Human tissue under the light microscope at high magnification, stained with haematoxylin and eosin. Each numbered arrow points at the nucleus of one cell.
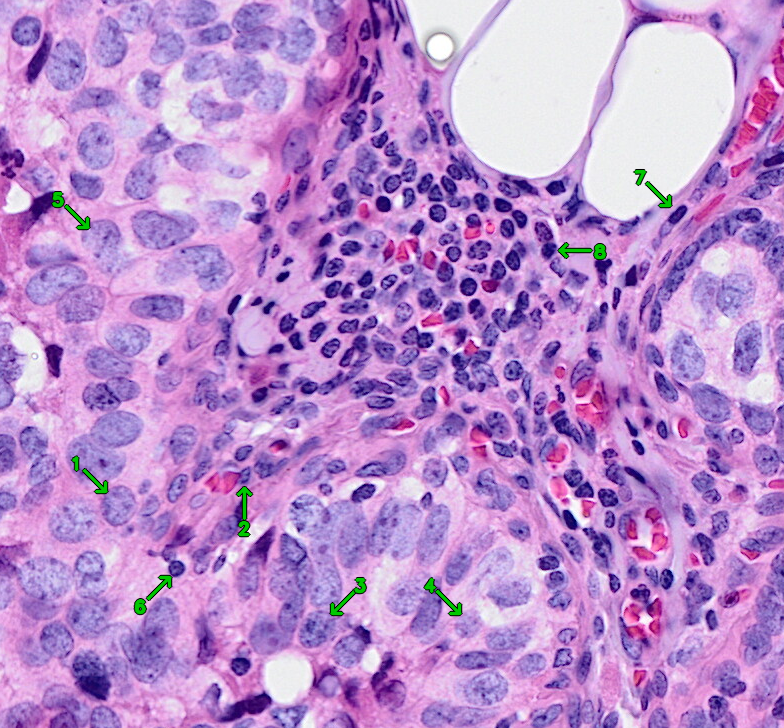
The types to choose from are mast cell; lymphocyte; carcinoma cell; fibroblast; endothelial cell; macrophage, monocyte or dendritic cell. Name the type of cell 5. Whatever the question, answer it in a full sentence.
The cell with the number 5 is a carcinoma cell.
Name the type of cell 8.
Heads up, the cell numbered 8 is a lymphocyte.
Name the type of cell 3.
Denoted by the label 3 in the section is a carcinoma cell.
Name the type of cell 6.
In this section, the cell numbered 6 is a lymphocyte.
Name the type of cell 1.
The cell tagged with 1 in this tissue section is a carcinoma cell.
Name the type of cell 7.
The cell given label 7 is a lymphocyte.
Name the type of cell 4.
The cell referenced by the number 4 is a carcinoma cell in this field.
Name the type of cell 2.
Cell number 2 in this section is an endothelial cell.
